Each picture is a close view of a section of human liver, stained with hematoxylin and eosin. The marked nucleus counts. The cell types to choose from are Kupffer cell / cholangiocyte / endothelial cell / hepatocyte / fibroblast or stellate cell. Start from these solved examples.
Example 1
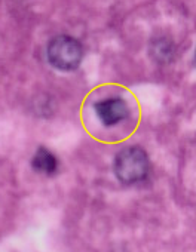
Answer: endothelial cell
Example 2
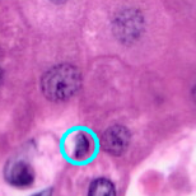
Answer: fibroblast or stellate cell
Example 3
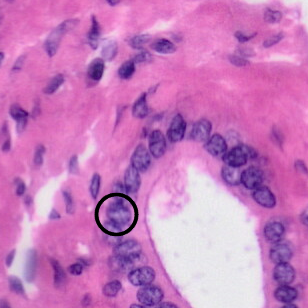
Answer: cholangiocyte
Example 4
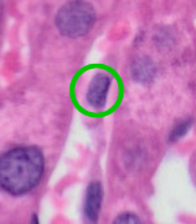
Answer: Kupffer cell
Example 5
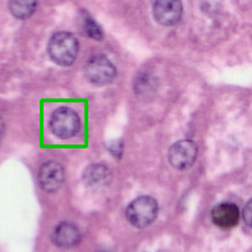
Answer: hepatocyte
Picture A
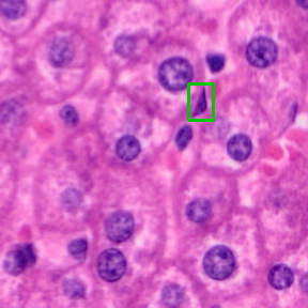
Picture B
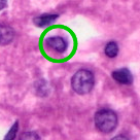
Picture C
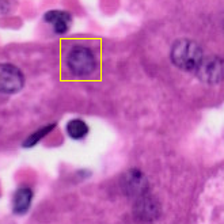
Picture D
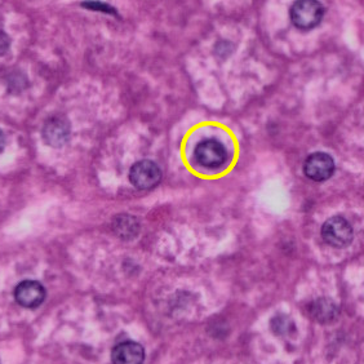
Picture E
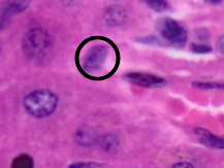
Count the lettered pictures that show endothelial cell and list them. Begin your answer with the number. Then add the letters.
1: A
